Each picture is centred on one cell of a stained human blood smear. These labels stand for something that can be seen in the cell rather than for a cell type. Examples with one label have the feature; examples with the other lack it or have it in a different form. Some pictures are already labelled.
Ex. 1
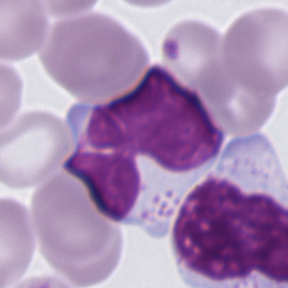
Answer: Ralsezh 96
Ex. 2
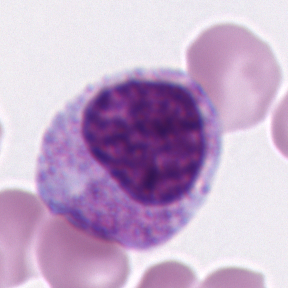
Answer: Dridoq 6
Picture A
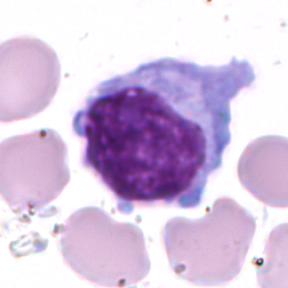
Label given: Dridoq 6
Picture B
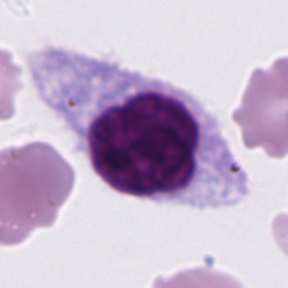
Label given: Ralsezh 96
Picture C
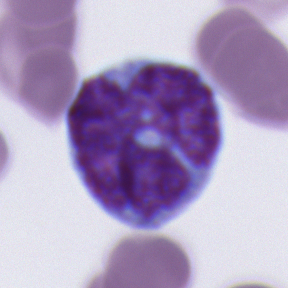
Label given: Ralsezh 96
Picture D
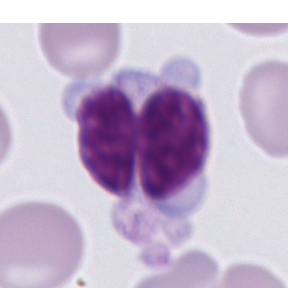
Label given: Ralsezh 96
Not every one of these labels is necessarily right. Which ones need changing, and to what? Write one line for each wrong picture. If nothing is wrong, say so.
B is labelled Ralsezh 96; correct label: Dridoq 6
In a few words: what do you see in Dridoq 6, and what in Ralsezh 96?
Seen in Dridoq 6: abundant cytoplasm; seen in Ralsezh 96: scant cytoplasm.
